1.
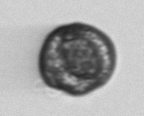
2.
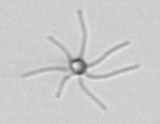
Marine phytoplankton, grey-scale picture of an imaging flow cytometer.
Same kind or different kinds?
Different: the first is Umbilicosphaera sibogae, the second Ophiaster.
